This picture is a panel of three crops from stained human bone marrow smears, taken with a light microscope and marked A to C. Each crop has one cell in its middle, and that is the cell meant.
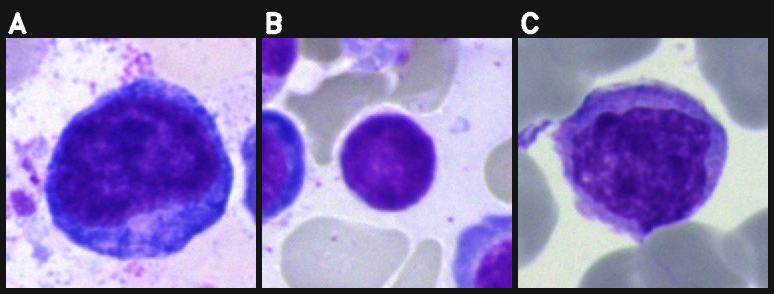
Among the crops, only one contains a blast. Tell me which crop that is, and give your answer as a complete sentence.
Crop A matches the request, showing a blast.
